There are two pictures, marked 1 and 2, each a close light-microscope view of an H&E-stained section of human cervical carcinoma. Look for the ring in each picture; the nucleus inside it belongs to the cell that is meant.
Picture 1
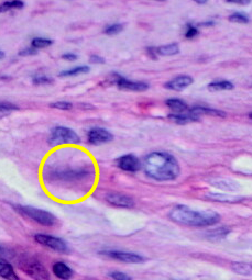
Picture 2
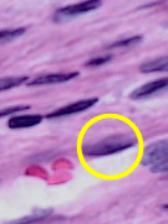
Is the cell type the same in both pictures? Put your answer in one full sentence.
Yes, both cells are endothelial cells.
